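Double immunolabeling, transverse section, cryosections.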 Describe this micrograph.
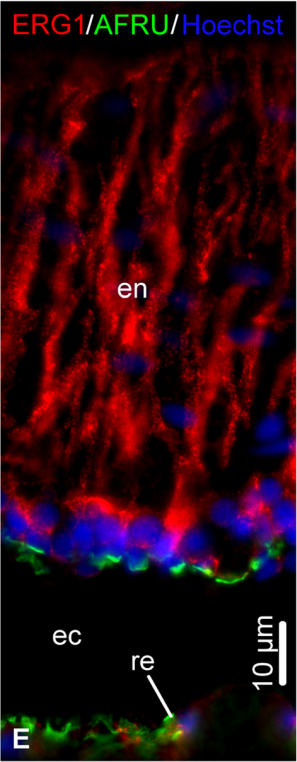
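This fluorescence view shows the ectoneural neuroepithelium of the radial nerve cord above the epineural canal. Green material lines the epithelial surface that faces the canal, and a thin roof epithelium borders the canal below.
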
